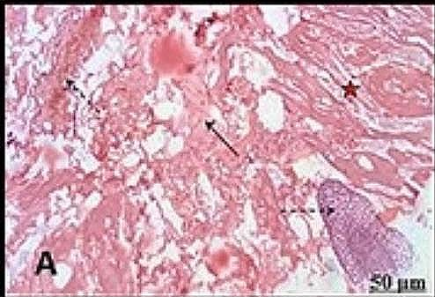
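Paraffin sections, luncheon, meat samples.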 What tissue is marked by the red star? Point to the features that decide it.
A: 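Star lies on wavy, parallel pink fibrous bundles. Few nuclei in the fibrous area.
Hence: fascia /tendons.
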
